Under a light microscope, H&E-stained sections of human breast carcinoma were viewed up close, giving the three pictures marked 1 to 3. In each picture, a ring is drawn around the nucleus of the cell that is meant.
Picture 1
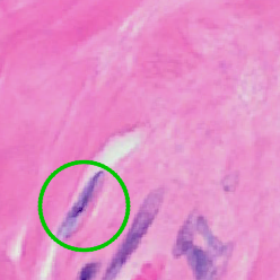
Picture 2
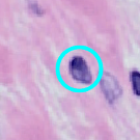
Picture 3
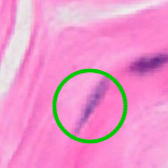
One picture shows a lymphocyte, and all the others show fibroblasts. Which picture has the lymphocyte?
2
